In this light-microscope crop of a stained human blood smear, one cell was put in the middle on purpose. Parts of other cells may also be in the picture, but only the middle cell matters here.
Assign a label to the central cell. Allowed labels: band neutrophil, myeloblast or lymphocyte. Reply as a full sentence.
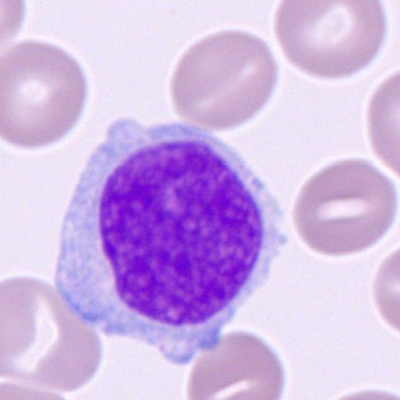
Whatever else lies nearby, the middle cell is a myeloblast.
